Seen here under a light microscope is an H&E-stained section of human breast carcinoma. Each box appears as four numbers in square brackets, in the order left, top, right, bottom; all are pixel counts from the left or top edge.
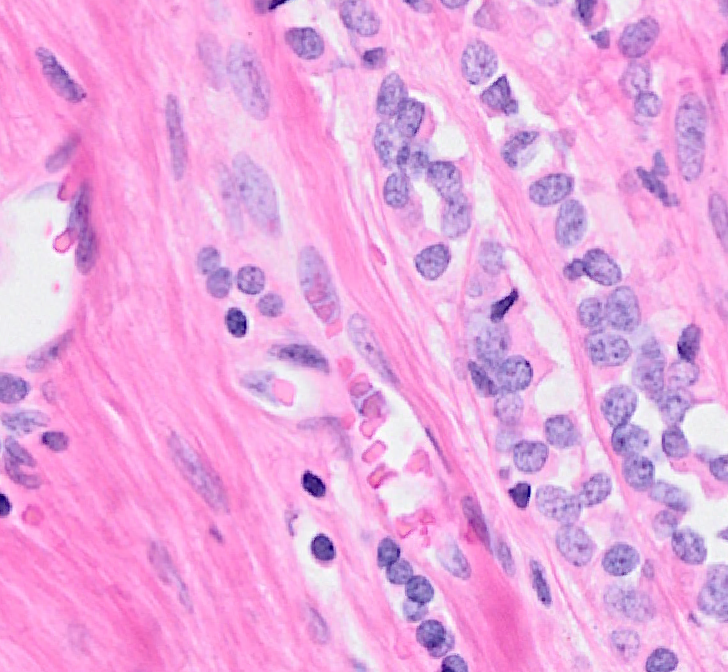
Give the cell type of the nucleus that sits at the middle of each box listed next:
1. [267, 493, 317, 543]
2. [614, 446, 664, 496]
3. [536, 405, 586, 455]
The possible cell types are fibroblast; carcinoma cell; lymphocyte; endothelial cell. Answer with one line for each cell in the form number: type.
1: fibroblast
2: carcinoma cell
3: carcinoma cell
